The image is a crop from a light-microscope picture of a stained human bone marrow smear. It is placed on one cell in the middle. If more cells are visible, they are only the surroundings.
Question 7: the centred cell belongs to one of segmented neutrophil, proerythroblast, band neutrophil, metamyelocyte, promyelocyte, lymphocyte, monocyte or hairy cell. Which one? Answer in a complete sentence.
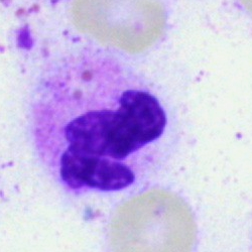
The middle of this crop is occupied by a segmented neutrophil.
